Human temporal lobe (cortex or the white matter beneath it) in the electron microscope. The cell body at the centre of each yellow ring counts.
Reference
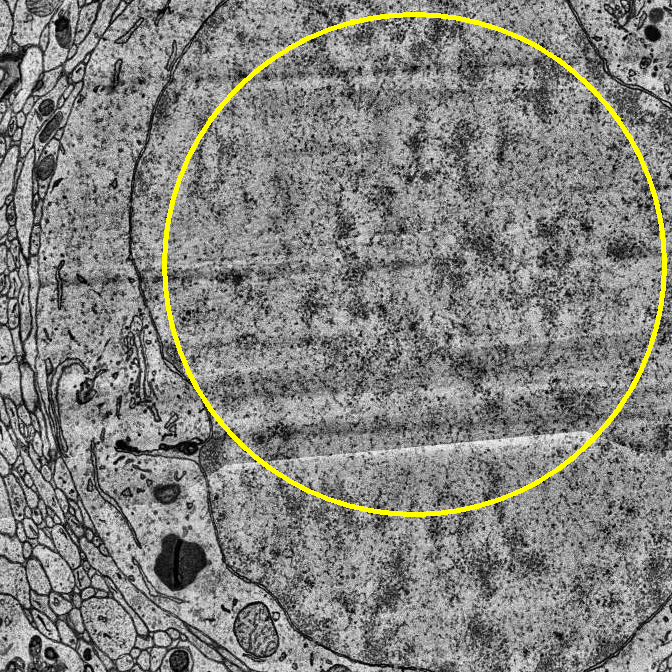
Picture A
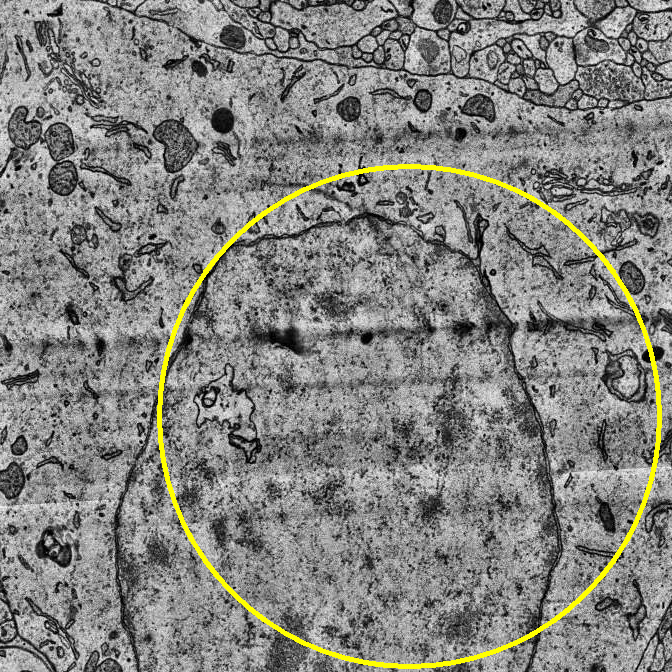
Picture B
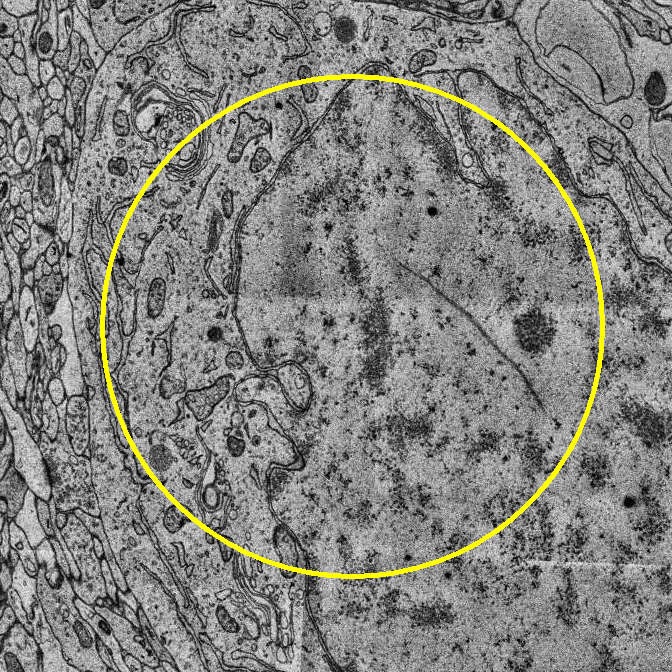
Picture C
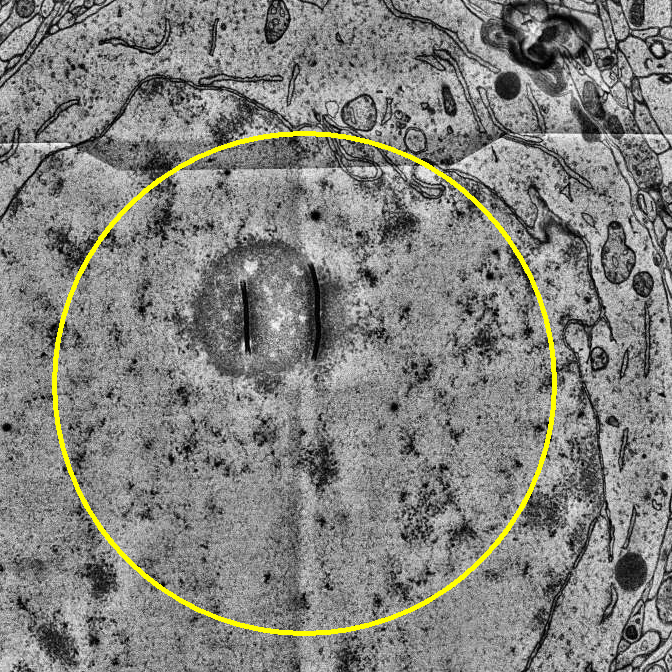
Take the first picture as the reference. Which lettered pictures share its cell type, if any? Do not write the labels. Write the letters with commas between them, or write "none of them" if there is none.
A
